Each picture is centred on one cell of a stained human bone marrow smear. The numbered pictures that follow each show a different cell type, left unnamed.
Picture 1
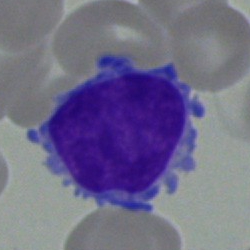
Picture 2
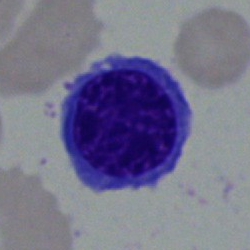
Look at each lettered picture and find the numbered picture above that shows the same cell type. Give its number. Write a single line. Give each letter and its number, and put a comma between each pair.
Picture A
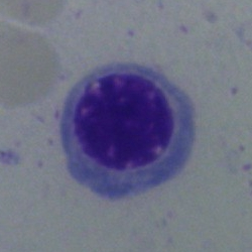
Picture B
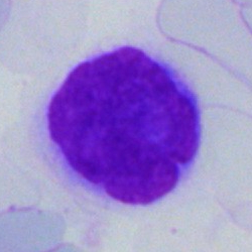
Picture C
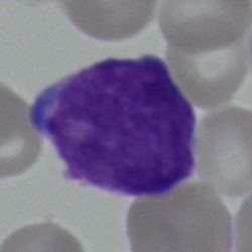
A 2, B 1, C 1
